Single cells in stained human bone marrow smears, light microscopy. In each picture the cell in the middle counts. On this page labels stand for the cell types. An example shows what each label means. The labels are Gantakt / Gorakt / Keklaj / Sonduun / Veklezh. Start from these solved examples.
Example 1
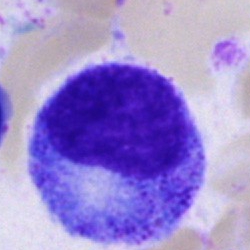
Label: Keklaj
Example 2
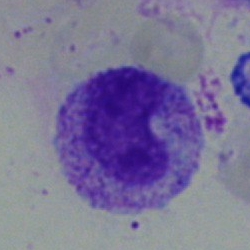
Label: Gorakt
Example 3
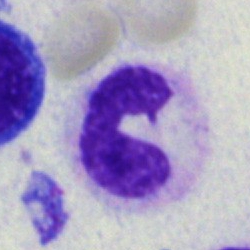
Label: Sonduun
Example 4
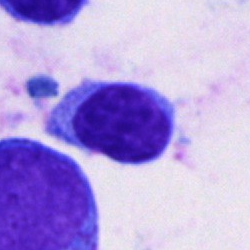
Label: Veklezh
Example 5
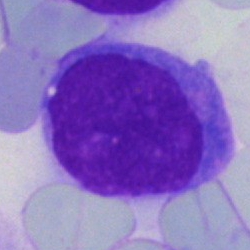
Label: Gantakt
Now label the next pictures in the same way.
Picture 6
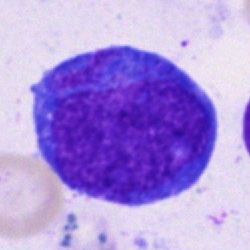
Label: Keklaj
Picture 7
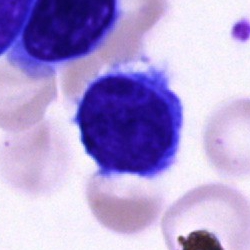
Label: Veklezh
